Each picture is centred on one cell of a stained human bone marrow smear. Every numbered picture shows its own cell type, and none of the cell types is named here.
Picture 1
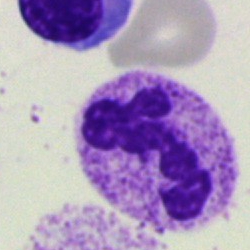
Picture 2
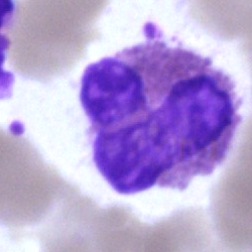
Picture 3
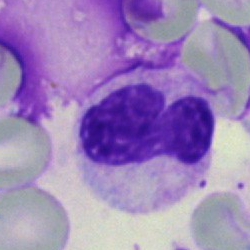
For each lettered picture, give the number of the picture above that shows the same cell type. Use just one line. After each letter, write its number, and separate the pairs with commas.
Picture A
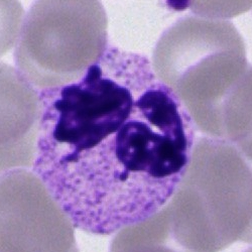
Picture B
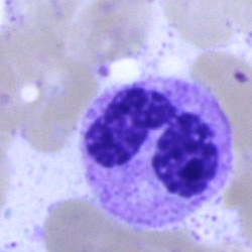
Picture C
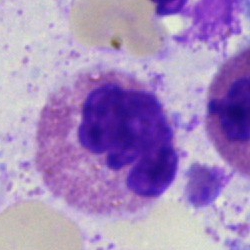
A 1, B 1, C 2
